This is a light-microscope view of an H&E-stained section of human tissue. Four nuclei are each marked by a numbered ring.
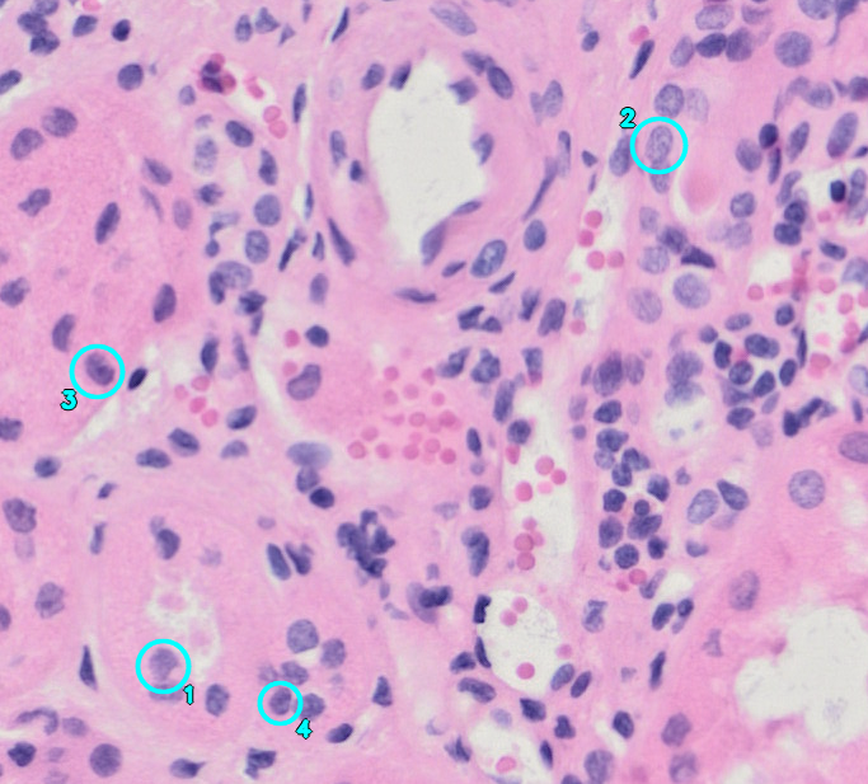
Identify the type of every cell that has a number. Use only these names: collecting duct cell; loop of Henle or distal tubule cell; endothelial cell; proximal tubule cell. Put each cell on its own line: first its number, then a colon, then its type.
1: loop of Henle or distal tubule cell
2: collecting duct cell
3: proximal tubule cell
4: loop of Henle or distal tubule cell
